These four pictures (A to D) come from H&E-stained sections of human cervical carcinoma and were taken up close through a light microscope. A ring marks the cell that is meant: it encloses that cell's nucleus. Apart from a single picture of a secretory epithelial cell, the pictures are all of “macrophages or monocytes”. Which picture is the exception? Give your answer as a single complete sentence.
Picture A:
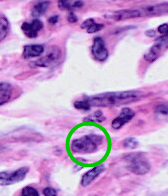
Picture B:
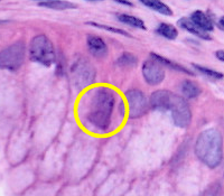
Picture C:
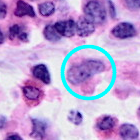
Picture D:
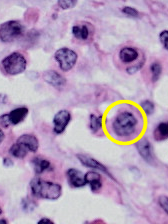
Picture B is the one that shows the secretory epithelial cell.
